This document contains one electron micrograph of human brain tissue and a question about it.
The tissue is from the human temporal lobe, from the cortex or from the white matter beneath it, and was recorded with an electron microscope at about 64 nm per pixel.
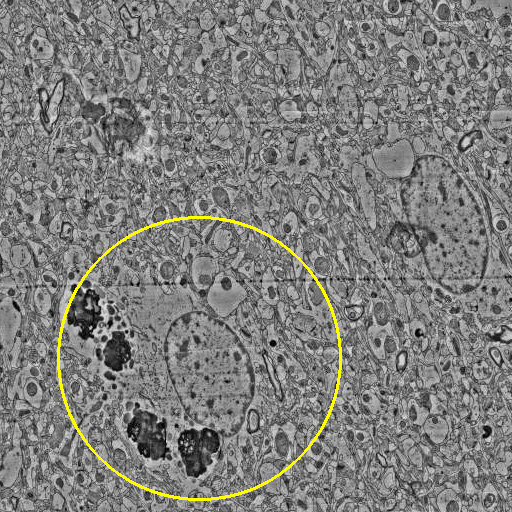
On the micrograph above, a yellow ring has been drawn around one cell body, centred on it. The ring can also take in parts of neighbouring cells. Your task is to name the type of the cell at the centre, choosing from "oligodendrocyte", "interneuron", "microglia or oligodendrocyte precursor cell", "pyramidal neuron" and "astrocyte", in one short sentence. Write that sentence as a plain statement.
Here the ring is centred on an astrocyte.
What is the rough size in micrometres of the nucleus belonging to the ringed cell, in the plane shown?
In this plane, about 7 micrometres in length and 5 in width.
